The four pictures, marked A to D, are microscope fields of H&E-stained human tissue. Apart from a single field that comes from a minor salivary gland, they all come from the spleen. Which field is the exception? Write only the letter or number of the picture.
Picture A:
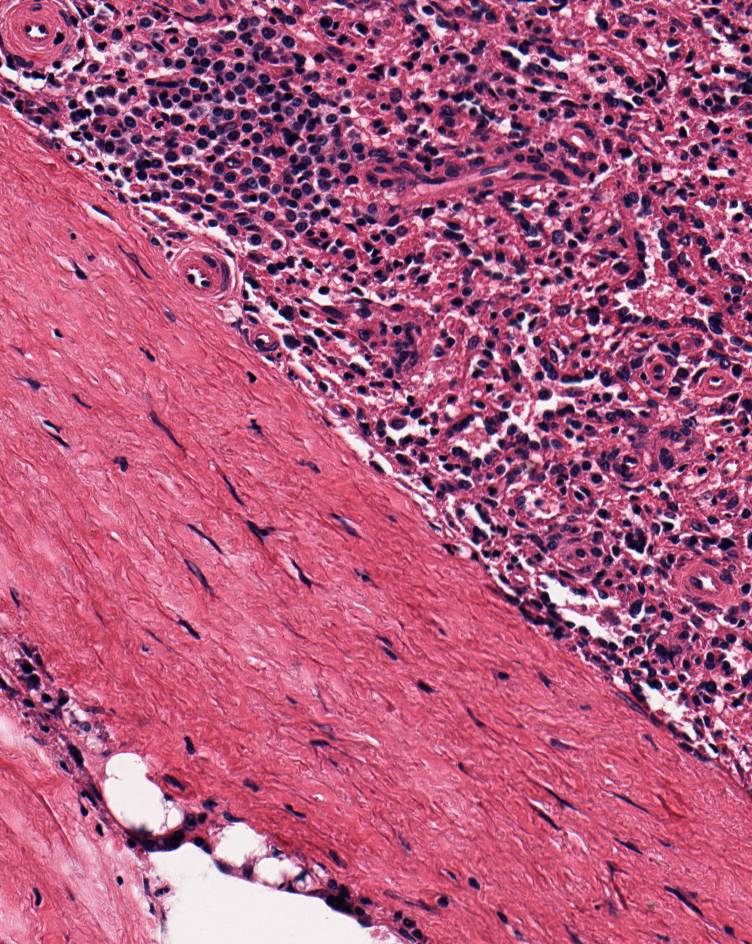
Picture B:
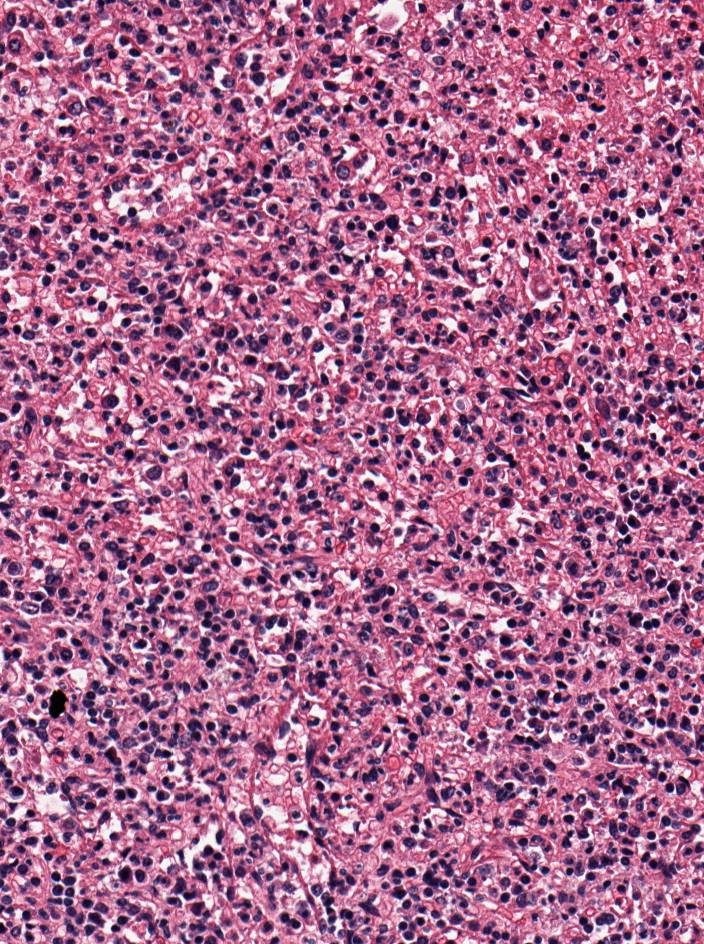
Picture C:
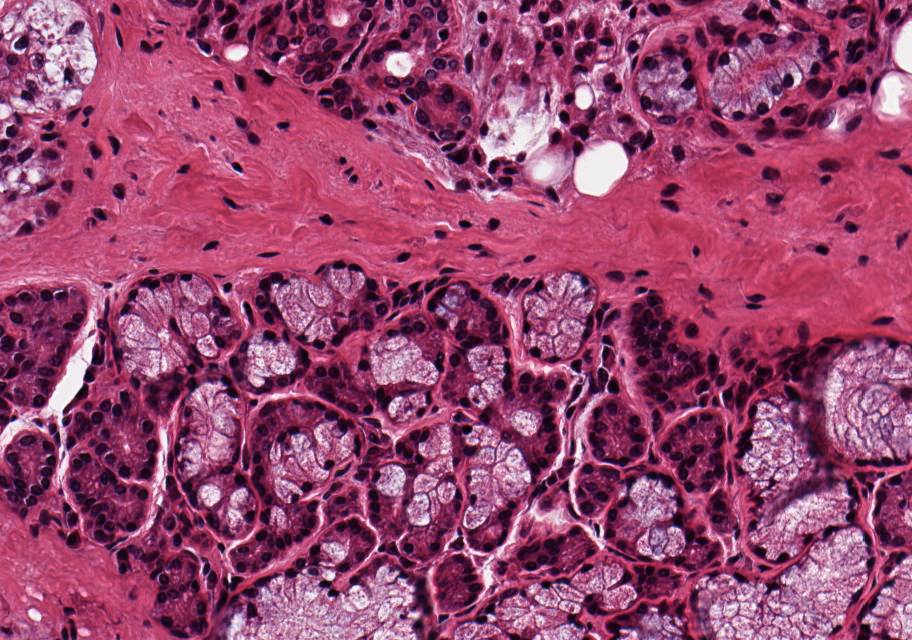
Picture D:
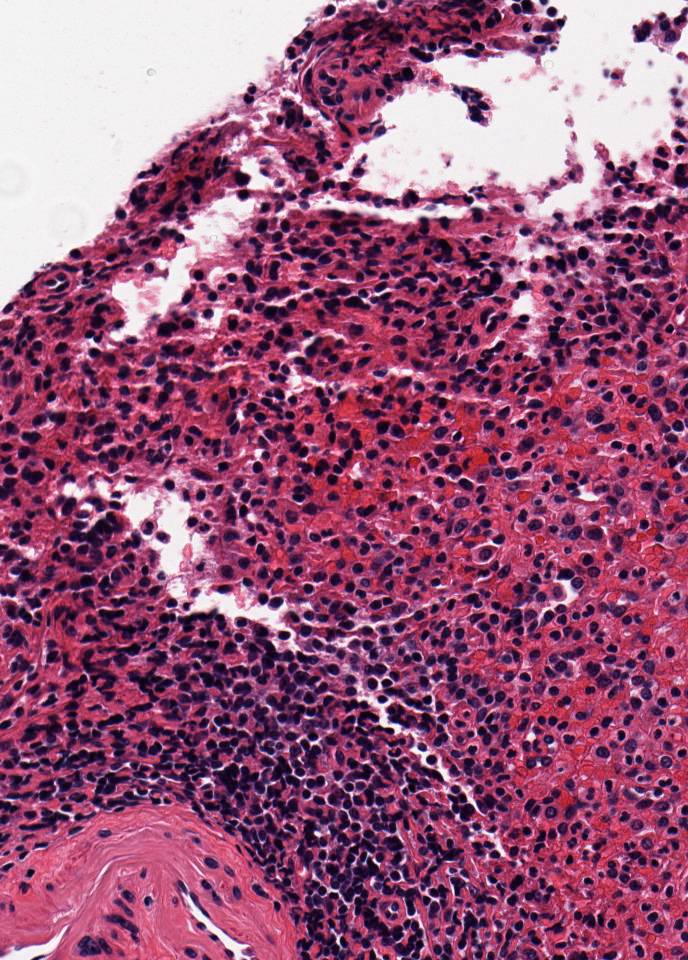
C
